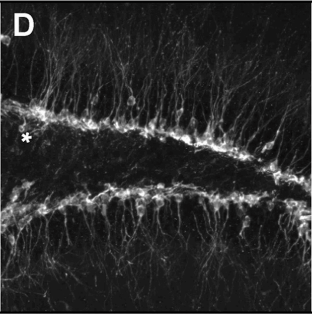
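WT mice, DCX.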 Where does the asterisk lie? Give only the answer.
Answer: Hilus.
